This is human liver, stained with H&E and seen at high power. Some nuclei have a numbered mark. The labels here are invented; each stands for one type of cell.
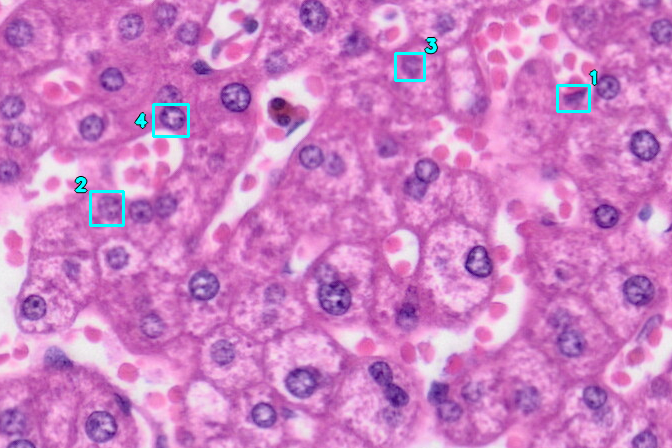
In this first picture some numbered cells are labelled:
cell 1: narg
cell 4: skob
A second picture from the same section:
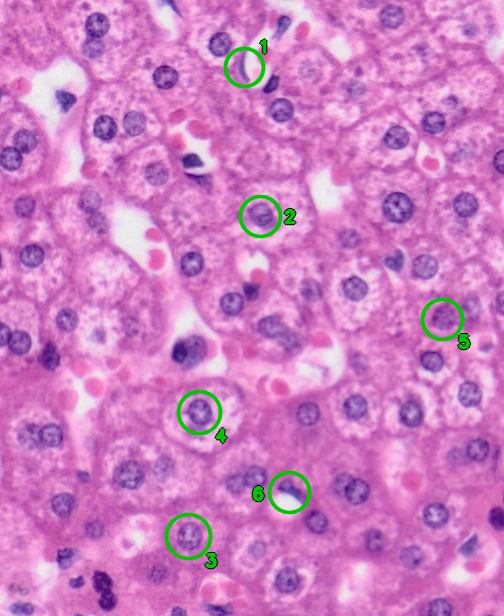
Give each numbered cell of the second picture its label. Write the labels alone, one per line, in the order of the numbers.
narg
skob
skob
skob
skob
narg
